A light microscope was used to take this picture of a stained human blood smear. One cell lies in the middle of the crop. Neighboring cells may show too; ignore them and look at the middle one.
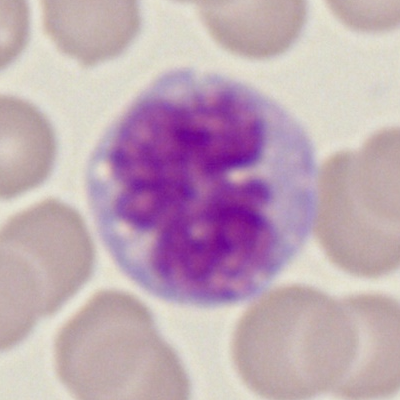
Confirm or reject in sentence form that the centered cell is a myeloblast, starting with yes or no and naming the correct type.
No, it is a monocyte that sits in the middle, not a myeloblast.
